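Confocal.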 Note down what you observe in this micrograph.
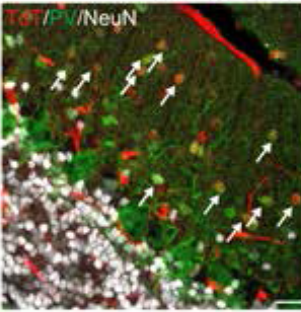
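This is cerebellar cortex with a dense granular layer of small white nuclei crowding the lower left corner and the sparsely celled molecular layer above it. In the molecular layer, small round neuron cell bodies are scattered in a green neuropil, many appearing yellow-orange where red and green overlap. Elongated red profiles of blood vessels run through both layers.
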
